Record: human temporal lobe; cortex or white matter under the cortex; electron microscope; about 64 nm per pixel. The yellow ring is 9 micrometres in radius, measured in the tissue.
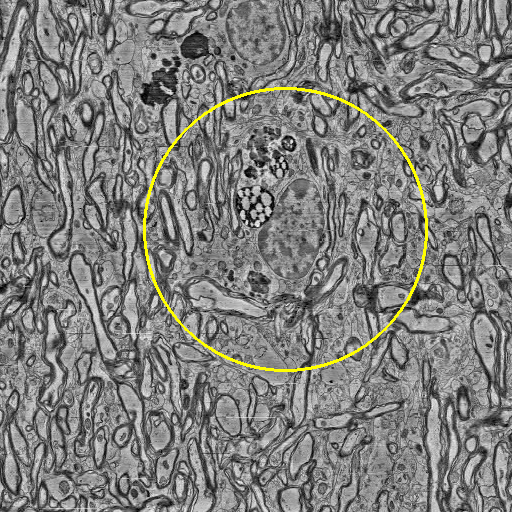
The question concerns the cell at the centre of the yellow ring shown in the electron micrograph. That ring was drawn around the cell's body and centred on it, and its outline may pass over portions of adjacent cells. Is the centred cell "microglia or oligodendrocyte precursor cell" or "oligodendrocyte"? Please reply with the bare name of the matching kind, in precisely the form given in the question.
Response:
microglia or oligodendrocyte precursor cell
